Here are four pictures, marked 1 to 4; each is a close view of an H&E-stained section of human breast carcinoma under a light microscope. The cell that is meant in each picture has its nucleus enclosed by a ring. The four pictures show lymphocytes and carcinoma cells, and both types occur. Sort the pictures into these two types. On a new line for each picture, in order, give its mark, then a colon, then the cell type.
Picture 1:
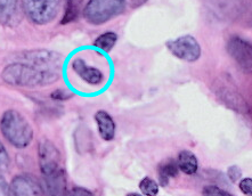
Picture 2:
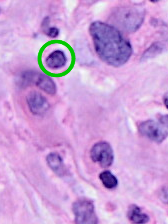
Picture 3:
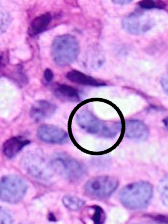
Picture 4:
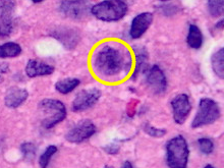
1: lymphocyte
2: lymphocyte
3: carcinoma cell
4: carcinoma cell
